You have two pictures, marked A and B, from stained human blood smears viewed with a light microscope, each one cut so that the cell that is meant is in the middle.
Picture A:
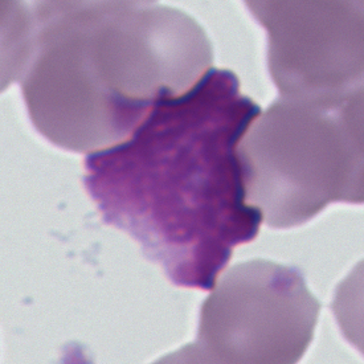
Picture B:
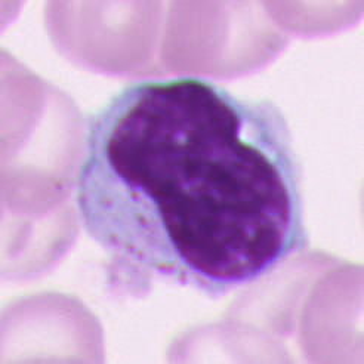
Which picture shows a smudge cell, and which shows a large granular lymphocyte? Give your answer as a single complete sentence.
Picture A is of a smudge cell, and picture B is of a large granular lymphocyte.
